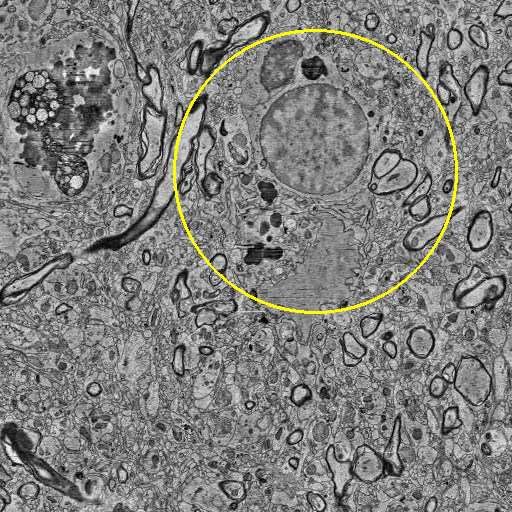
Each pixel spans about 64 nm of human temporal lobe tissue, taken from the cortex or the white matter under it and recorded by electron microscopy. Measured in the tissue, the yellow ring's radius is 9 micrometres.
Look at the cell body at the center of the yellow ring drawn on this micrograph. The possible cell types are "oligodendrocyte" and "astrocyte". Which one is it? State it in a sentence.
The cell in the middle of the ring is an oligodendrocyte.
